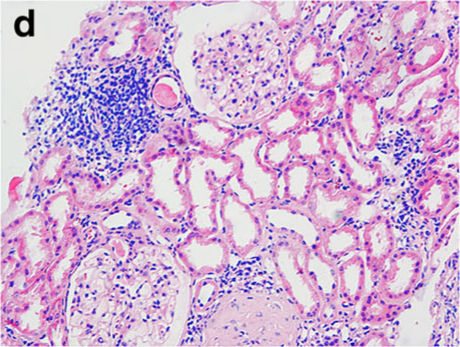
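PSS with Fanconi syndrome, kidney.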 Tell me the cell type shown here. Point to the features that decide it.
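Lymphocytes. A dense cluster of small round cells with dark purple nuclei and scant cytoplasm lies in the interstitium. The cluster sits between tubules and next to a glomerulus.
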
